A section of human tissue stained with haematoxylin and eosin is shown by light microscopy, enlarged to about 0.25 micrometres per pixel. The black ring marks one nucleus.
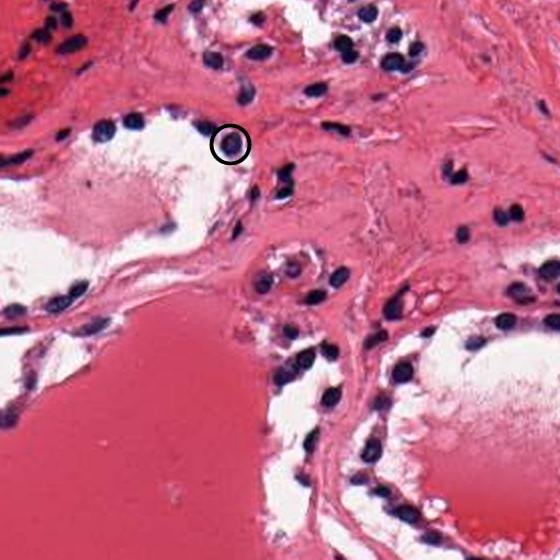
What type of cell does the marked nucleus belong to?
thyroid follicular cell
